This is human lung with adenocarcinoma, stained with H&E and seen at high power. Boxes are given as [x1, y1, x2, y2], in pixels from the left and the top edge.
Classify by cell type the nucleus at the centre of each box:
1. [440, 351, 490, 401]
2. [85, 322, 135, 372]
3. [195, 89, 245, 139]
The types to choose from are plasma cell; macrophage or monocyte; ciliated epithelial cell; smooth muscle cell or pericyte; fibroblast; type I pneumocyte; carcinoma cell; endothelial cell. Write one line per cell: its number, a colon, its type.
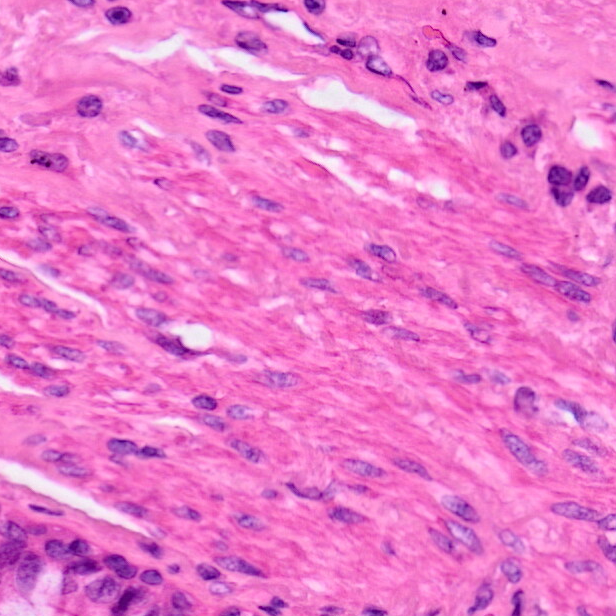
1: smooth muscle cell or pericyte
2: smooth muscle cell or pericyte
3: fibroblast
